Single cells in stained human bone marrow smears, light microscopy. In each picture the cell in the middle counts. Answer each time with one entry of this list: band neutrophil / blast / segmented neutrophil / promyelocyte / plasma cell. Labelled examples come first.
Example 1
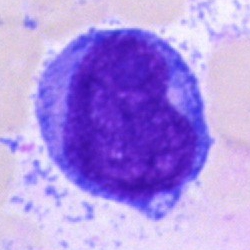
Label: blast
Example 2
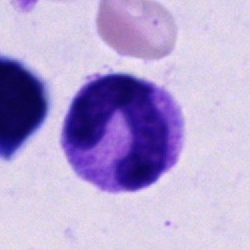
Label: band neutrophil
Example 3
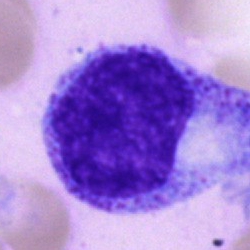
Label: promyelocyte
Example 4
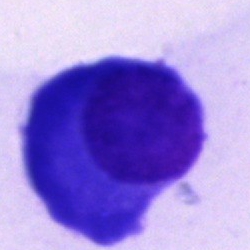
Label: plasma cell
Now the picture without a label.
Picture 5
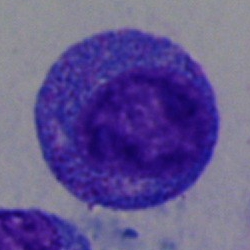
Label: promyelocyte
